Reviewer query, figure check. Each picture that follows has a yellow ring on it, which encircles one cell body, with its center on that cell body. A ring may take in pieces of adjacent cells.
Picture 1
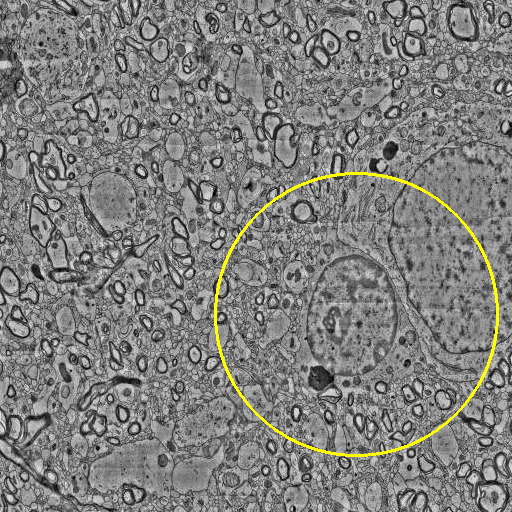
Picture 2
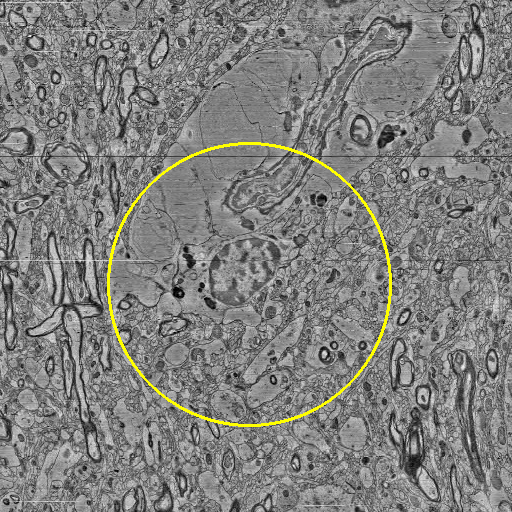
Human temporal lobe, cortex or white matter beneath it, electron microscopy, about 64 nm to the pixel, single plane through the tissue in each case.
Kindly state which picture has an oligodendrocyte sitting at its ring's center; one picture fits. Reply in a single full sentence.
In picture 1, the cell at the center of the ring is the requested one.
